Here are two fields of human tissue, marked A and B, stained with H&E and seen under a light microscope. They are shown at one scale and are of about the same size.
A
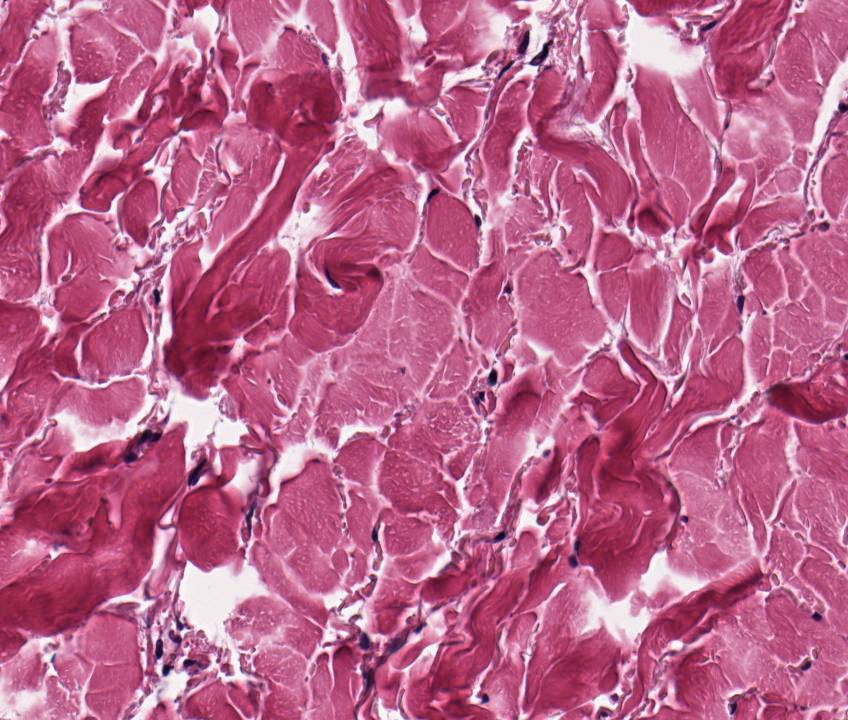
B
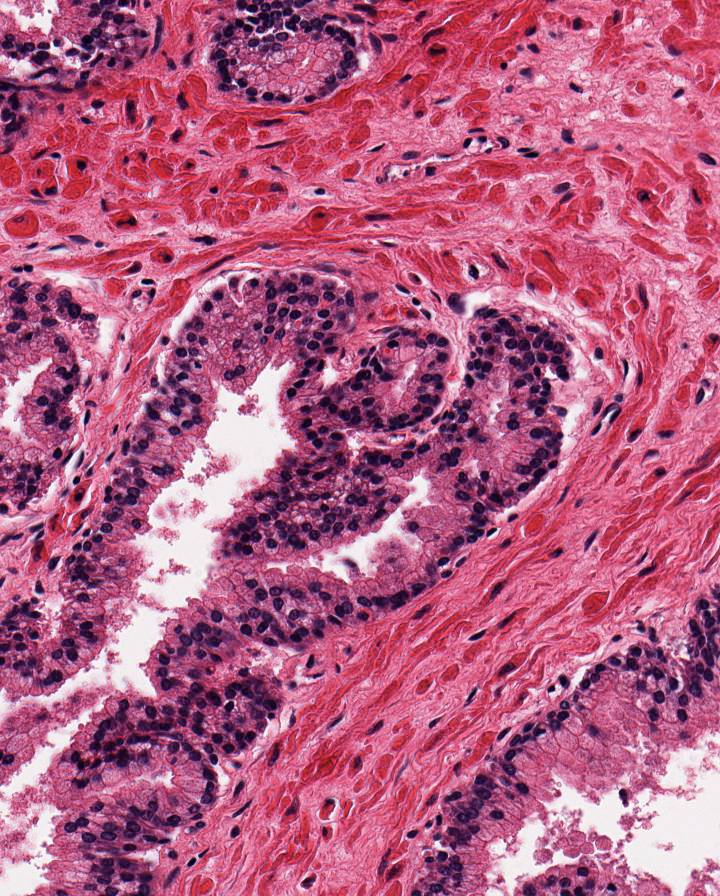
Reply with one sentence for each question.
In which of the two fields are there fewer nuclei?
Fewer nuclei lie in field A than in field B.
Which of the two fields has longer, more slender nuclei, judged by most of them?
On the whole the nuclei of field A are more drawn out than those of field B.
